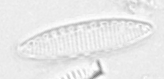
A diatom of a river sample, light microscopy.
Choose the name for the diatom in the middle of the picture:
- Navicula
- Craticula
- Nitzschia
Nitzschia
